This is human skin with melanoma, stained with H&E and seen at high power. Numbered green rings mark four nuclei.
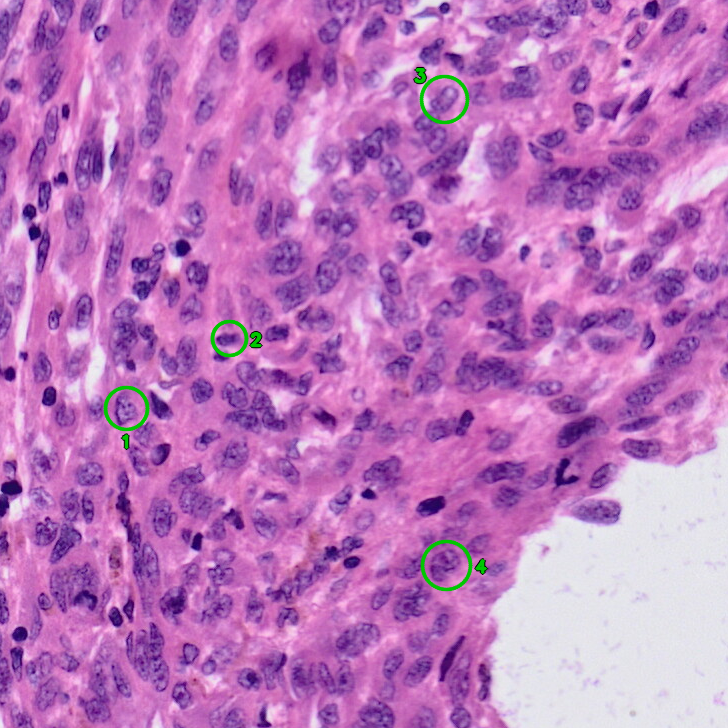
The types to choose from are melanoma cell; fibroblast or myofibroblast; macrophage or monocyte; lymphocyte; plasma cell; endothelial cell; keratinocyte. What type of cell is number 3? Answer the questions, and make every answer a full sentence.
Denoted by the label 3 in the section is a melanoma cell.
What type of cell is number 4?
Cell 4, as marked in the section, is a melanoma cell.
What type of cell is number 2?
The cell numbered 2 represents a lymphocyte.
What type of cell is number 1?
The cell marked with number 1 is a melanoma cell.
